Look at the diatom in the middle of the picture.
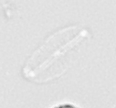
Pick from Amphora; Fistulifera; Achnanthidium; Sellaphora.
Fistulifera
